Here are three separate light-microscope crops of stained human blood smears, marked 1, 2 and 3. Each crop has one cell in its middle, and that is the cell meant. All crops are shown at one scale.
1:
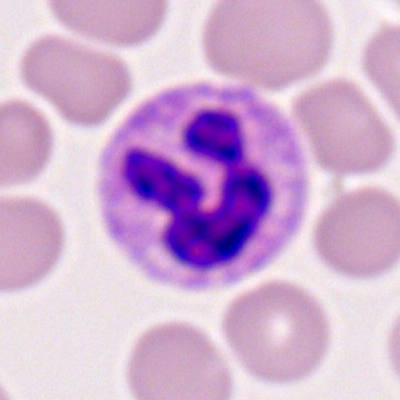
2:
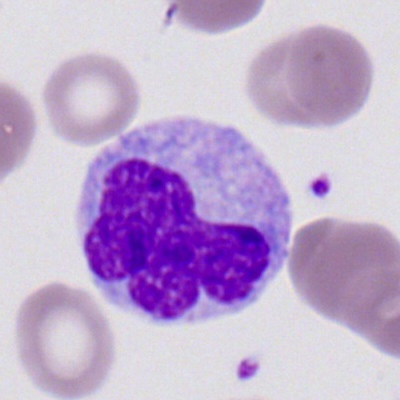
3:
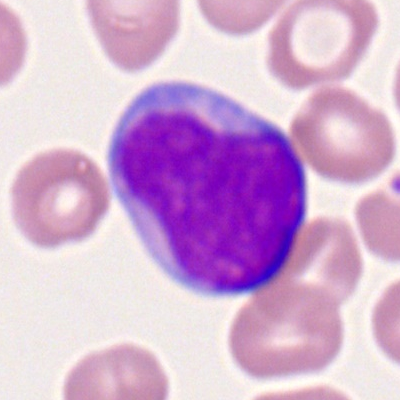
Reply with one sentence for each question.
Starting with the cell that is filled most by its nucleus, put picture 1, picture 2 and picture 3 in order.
The most filled comes first: 3, 2, 1.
